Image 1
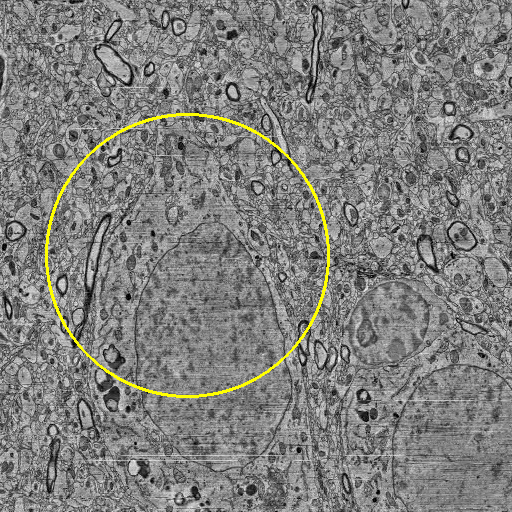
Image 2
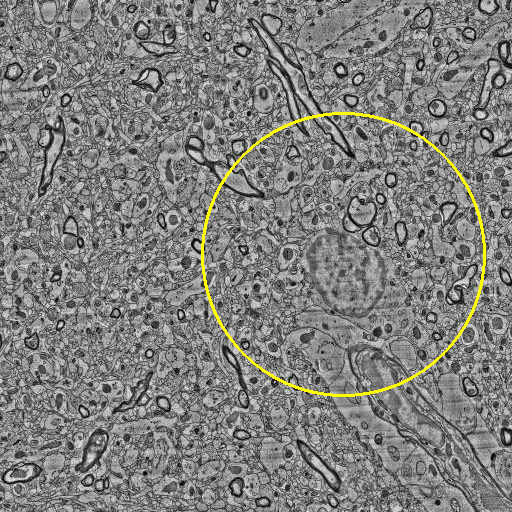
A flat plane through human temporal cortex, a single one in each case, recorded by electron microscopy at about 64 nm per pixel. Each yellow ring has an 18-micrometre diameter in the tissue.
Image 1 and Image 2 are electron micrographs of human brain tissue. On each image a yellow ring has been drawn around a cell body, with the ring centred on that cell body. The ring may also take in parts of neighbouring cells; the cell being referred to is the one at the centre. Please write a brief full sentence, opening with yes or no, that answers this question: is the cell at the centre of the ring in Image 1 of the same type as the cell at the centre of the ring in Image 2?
No, the two cells are of two types.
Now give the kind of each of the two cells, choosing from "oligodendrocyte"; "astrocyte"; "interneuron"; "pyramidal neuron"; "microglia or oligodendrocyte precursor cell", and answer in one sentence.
The cell in the first picture is a pyramidal neuron, and the cell in the second is an oligodendrocyte.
